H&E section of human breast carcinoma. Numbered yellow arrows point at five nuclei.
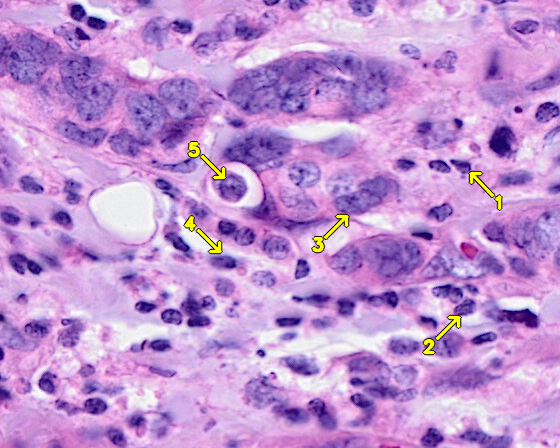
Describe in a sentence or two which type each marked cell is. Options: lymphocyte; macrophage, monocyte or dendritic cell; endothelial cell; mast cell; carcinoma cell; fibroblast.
Cells 1, 2 and 4 are lymphocytes. Cells 3 and 5 are carcinoma cells.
